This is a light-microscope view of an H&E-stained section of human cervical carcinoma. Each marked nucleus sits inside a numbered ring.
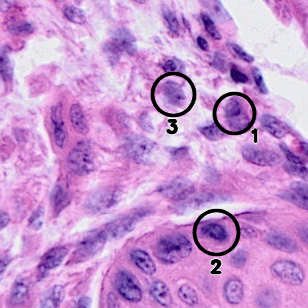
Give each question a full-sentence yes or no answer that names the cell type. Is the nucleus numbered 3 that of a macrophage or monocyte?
No. Cell number 3 is a fibroblast, not a macrophage or monocyte.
